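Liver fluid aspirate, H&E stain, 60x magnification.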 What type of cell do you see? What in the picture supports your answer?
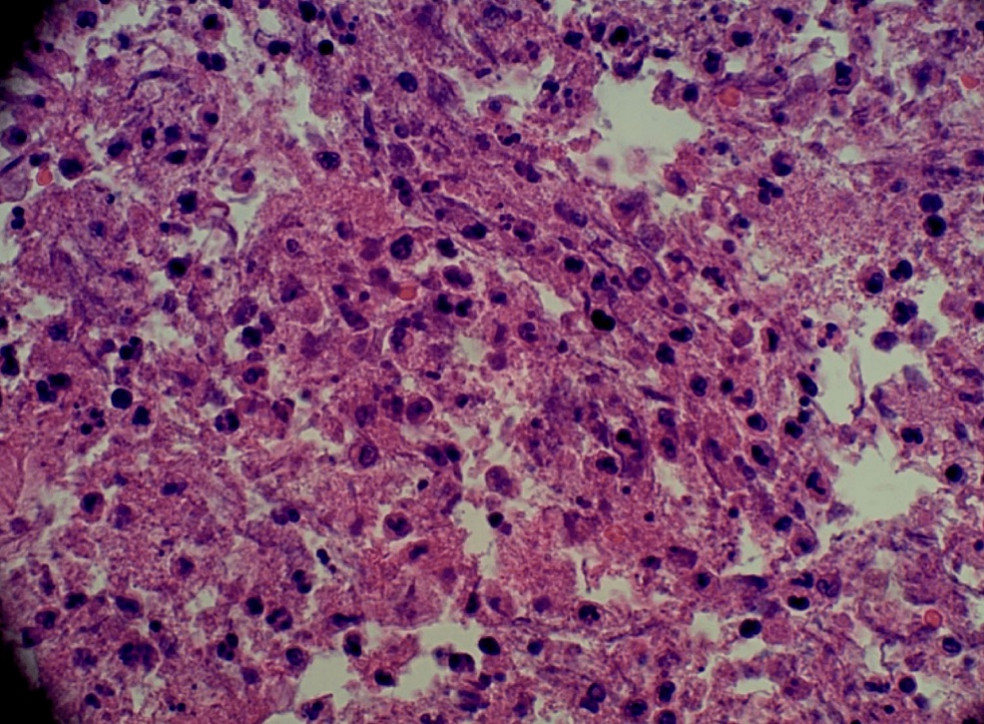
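Numerous scattered cells with small dark purple nuclei. The cells lie loosely in a granular pink background, not arranged as a tissue. Larger cells with paler pink cytoplasm sit among the small dark-nucleated cells.
Inflammatory cells.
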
